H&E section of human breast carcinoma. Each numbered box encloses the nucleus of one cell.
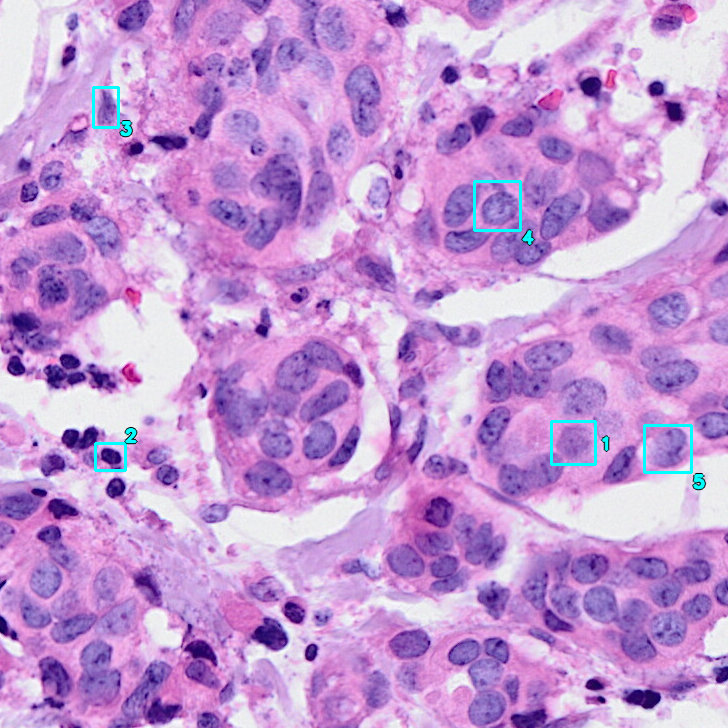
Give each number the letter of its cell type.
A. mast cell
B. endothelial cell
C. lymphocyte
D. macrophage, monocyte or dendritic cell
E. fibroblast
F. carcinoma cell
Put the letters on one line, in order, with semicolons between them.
F; C; E; F; F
